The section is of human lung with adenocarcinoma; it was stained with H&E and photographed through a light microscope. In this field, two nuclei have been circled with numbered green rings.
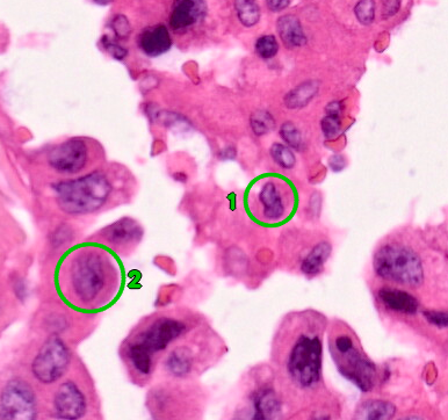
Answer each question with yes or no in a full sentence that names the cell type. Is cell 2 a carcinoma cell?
Yes, the cell that number 2 points to is a carcinoma cell.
